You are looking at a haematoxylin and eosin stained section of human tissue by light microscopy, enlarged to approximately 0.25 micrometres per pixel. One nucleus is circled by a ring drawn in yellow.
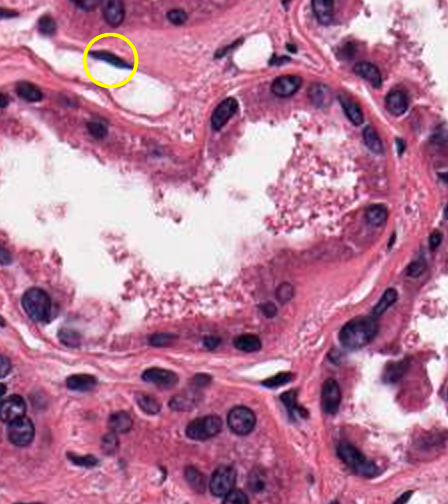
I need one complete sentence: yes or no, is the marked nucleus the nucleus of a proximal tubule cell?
No, the marked nucleus is not the nucleus of a proximal tubule cell but of a supporting cell.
